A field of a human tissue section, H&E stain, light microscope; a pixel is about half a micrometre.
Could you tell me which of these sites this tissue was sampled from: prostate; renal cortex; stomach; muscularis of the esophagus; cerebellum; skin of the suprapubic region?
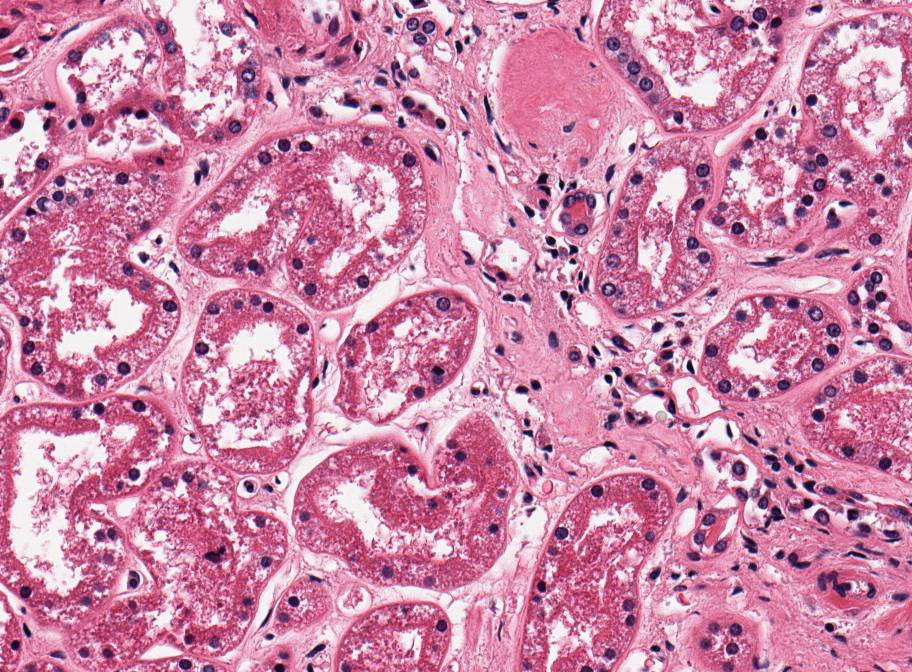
renal cortex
